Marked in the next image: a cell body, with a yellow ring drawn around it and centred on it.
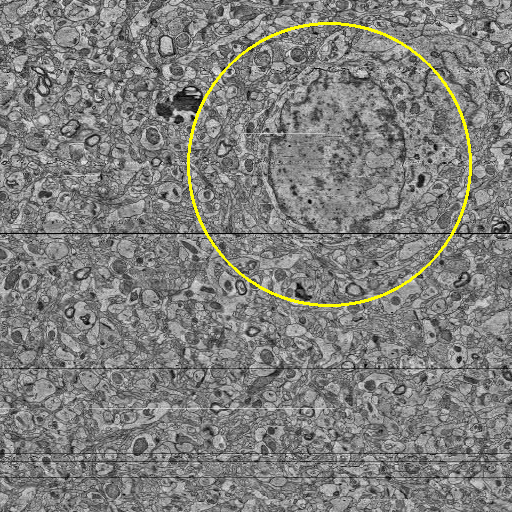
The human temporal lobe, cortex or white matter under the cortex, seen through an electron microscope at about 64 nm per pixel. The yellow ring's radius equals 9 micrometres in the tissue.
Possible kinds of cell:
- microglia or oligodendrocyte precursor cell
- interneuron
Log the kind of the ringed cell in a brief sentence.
The ringed cell body is that of an interneuron.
